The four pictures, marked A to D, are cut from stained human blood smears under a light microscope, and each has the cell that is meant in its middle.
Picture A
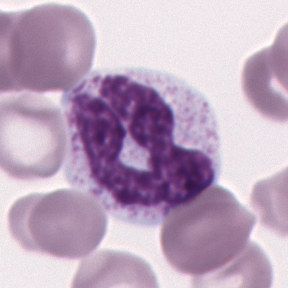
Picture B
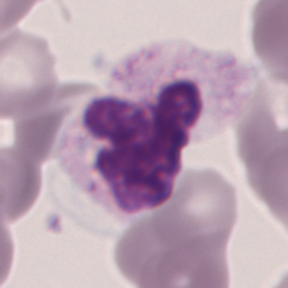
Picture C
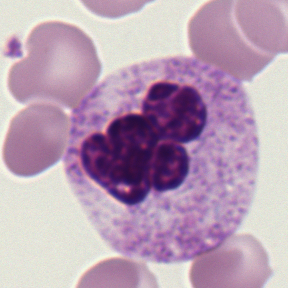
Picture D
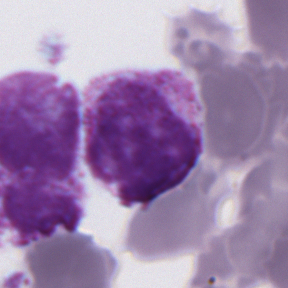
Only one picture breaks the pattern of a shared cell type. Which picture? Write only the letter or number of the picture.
D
